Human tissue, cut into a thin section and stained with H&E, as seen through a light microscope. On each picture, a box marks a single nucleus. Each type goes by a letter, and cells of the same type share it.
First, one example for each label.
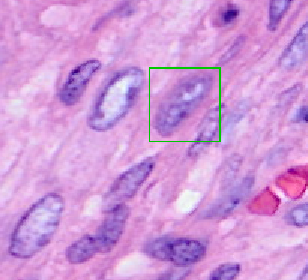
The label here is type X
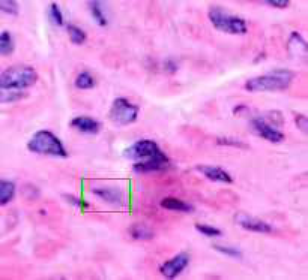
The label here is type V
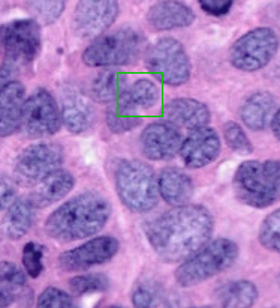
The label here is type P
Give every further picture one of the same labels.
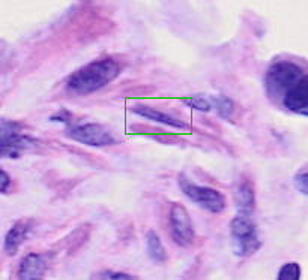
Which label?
type X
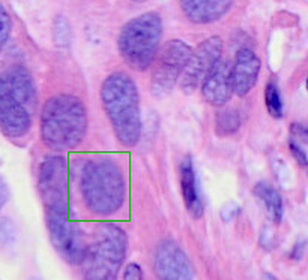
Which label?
type P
